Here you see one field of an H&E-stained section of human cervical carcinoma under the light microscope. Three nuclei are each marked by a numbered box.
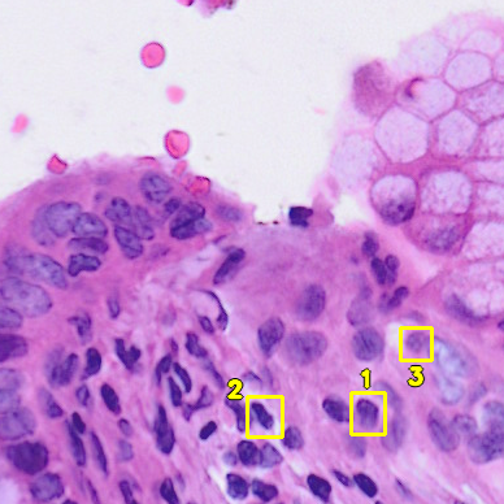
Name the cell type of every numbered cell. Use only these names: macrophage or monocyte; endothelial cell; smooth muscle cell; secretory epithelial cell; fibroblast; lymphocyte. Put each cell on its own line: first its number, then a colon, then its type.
1: lymphocyte
2: lymphocyte
3: endothelial cell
